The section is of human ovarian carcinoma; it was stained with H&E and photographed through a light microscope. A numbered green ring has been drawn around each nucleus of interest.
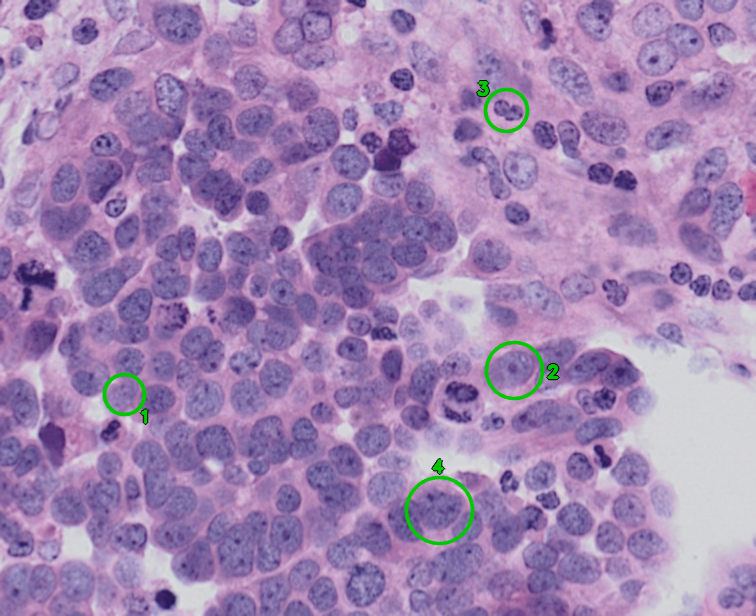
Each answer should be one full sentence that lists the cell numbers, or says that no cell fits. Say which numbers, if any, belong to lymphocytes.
Only the cell at mark 3 is a lymphocyte, and no other marked cell is.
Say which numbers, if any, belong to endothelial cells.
Of all the numbered cells, not one is counted among the endothelial cells.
